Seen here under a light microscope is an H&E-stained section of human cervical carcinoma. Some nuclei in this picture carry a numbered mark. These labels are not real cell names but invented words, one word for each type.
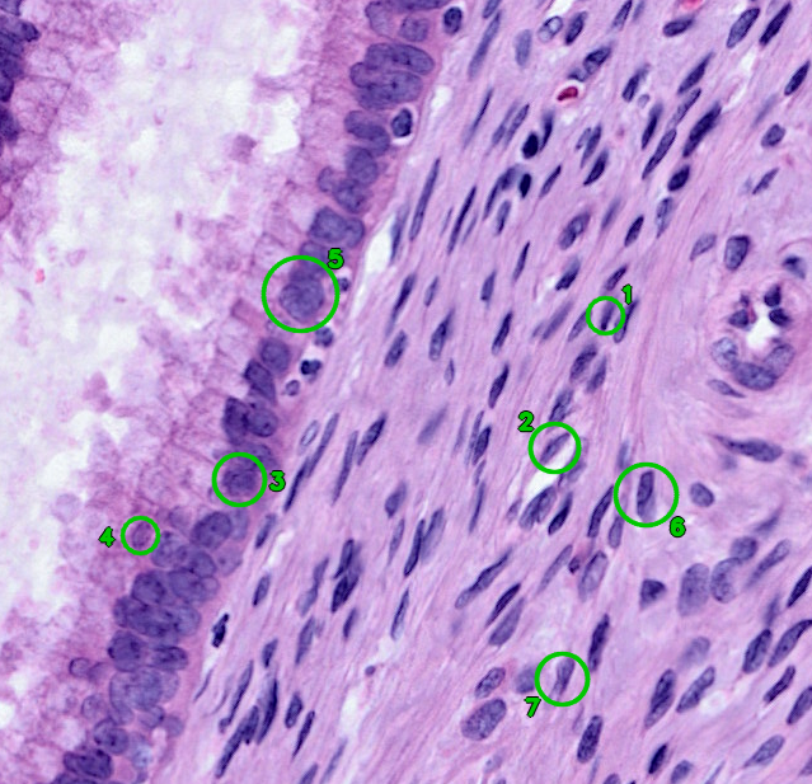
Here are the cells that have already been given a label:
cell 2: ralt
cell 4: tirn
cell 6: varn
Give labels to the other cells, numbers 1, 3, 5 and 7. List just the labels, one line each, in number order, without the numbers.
varn
tirn
tirn
varn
